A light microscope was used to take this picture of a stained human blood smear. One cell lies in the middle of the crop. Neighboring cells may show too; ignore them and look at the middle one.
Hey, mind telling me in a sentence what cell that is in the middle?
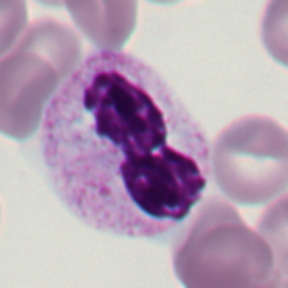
The cell that lies at the centre of the crop is a segmented neutrophil.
